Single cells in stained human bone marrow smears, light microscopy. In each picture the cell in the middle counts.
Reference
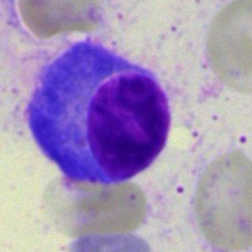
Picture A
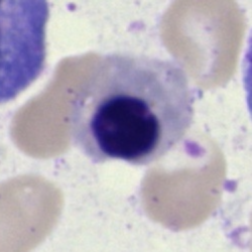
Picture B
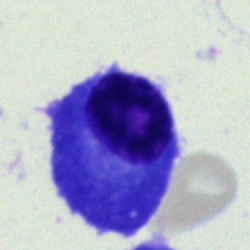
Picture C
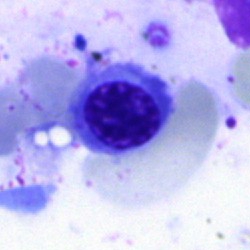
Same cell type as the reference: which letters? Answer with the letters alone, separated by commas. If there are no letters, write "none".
B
